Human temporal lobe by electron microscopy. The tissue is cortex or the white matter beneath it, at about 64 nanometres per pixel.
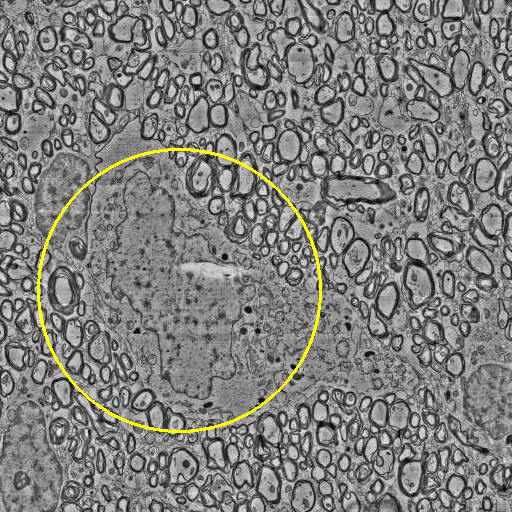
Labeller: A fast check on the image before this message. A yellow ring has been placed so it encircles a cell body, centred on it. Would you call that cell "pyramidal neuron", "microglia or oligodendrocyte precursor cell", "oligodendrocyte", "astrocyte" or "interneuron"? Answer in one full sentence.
In this image, a pyramidal neuron is the cell on which the yellow ring is centred.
